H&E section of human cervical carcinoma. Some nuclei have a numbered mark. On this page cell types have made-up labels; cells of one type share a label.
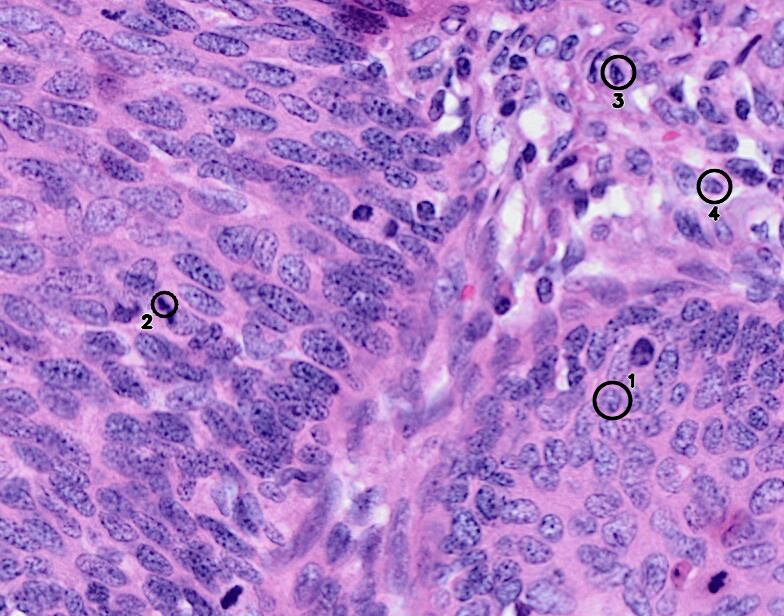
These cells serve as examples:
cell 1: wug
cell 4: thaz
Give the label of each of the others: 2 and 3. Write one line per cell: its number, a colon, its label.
2: wug
3: thaz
